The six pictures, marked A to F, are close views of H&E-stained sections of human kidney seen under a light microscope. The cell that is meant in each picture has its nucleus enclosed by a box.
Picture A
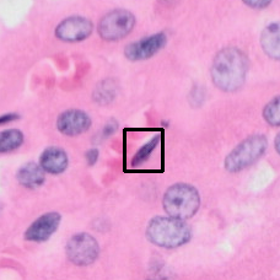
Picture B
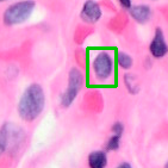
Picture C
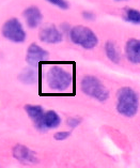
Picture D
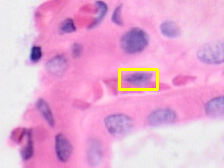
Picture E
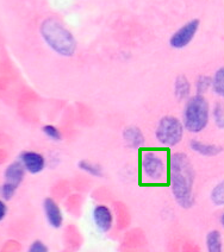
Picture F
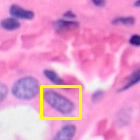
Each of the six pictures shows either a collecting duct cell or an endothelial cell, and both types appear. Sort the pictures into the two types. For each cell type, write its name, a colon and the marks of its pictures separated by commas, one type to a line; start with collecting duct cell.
collecting duct cell: C, E, F
endothelial cell: A, B, D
